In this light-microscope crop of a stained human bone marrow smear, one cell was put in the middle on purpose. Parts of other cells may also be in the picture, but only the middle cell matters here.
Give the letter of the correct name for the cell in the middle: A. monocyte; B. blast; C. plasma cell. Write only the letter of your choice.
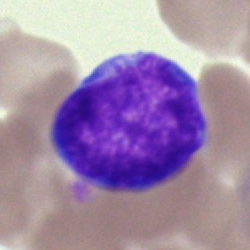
B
